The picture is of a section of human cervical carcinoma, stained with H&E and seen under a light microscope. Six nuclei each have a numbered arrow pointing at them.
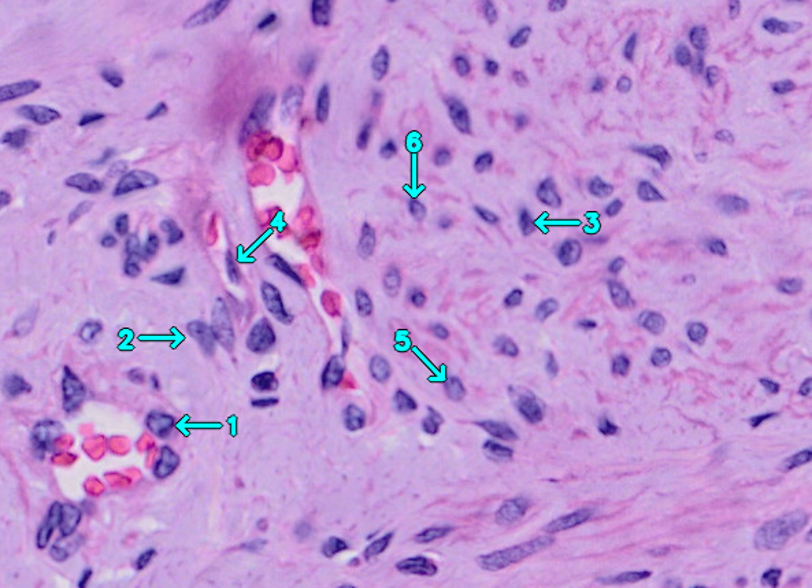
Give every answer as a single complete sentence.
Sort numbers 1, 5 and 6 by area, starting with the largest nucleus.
Going from the biggest nucleus down to the smallest gives 1, 5, 6.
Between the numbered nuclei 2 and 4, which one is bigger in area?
Nucleus 2 is larger, with an area about 2 times that of nucleus 4.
